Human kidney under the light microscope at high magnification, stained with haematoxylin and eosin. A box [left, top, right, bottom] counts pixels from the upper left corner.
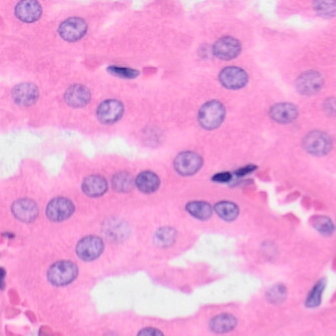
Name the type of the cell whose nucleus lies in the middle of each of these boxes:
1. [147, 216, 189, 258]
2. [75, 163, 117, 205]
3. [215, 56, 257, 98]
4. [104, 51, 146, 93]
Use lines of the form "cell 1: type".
cell 1: proximal tubule cell
cell 2: proximal tubule cell
cell 3: proximal tubule cell
cell 4: endothelial cell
